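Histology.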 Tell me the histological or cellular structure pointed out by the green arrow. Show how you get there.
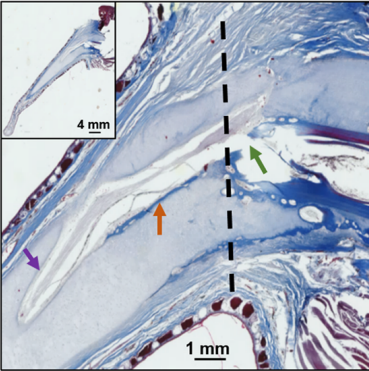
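Connection site of old marrow cavity to new tissue growth. The arrow points to where the hollow cavity of the old bone opens toward the new growth beyond the dashed line.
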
